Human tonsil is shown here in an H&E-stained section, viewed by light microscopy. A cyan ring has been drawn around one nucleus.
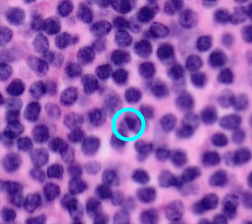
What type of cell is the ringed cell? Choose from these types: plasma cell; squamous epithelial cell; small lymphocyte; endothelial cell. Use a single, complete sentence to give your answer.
Within this tissue, the ringed cell is a small lymphocyte.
